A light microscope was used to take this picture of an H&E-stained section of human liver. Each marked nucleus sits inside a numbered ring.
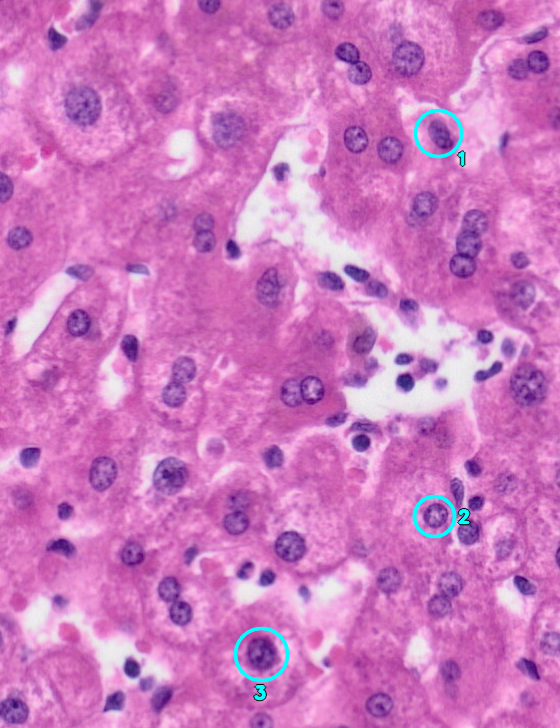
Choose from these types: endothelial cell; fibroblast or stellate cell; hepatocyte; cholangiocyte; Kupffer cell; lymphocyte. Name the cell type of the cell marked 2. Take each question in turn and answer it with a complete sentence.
The cell identified by number 2 is a hepatocyte.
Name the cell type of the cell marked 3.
The cell numbered 3 has been identified as a hepatocyte.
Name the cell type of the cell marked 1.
The one numbered 1 among the marked cells is a Kupffer cell.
